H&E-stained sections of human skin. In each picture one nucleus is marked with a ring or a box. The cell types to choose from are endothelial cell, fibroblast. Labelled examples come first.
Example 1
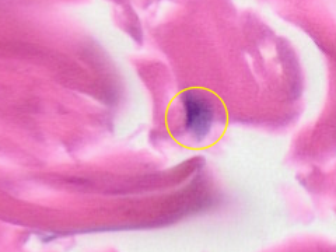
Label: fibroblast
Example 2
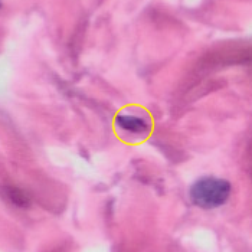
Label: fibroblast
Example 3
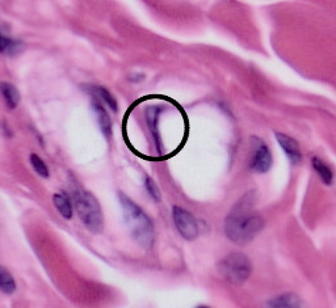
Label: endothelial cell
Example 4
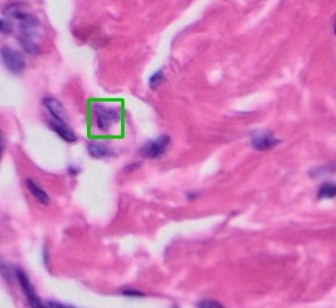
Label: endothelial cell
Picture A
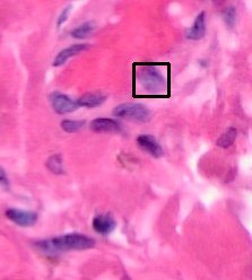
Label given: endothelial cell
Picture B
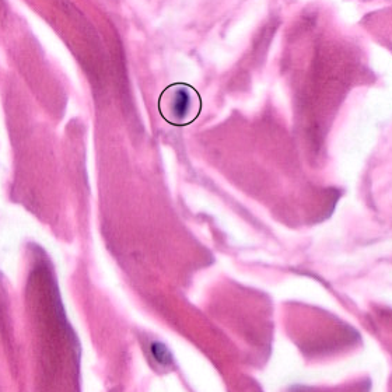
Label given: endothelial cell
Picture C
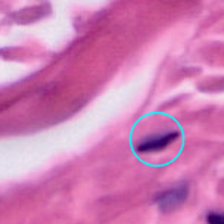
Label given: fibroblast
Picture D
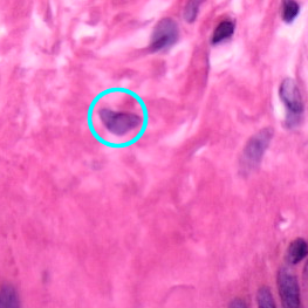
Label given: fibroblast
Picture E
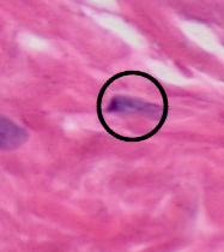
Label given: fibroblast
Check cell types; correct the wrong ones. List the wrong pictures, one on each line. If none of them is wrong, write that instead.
Wrong: B (endothelial cell); correct: fibroblast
